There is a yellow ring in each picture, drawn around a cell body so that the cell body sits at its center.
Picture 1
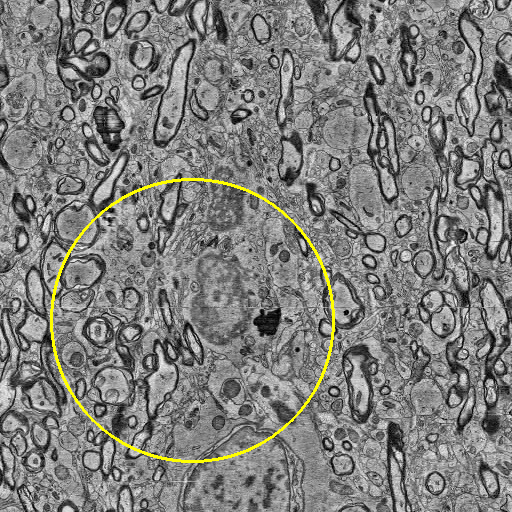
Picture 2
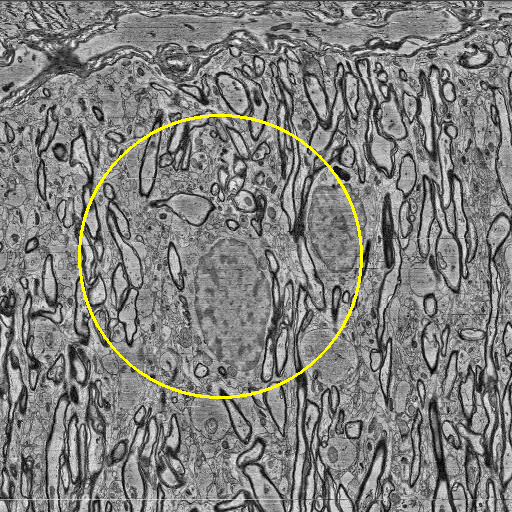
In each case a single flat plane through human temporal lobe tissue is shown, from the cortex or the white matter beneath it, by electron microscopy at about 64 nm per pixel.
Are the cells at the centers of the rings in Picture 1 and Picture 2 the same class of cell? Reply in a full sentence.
Yes, the two cells are the same class of cell.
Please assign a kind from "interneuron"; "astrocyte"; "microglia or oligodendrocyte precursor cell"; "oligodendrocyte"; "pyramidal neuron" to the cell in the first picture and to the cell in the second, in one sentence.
Each of the two cells is an oligodendrocyte.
